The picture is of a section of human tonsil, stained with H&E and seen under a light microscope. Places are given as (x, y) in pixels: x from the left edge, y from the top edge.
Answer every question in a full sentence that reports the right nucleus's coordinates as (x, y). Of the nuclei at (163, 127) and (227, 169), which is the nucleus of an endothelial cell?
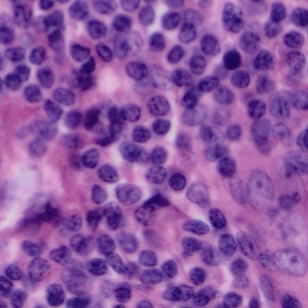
Of the two, the nucleus lying at (227, 169) is the one belonging to an endothelial cell.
